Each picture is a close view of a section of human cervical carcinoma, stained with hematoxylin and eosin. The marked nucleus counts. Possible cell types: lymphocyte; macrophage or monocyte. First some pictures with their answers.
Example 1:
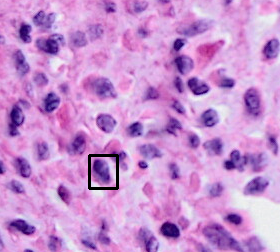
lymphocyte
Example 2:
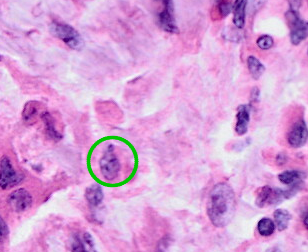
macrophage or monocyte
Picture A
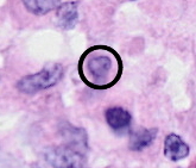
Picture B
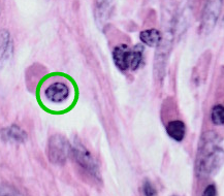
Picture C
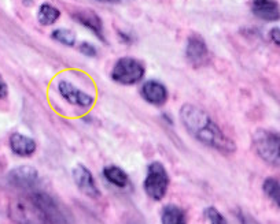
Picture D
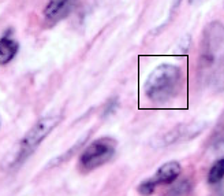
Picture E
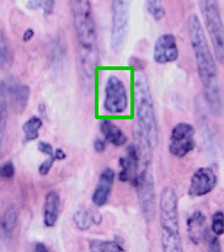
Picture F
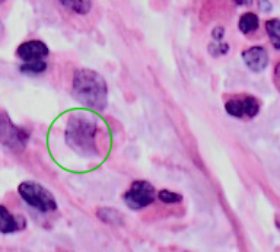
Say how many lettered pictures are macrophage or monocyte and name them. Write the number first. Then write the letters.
3: A, D, F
